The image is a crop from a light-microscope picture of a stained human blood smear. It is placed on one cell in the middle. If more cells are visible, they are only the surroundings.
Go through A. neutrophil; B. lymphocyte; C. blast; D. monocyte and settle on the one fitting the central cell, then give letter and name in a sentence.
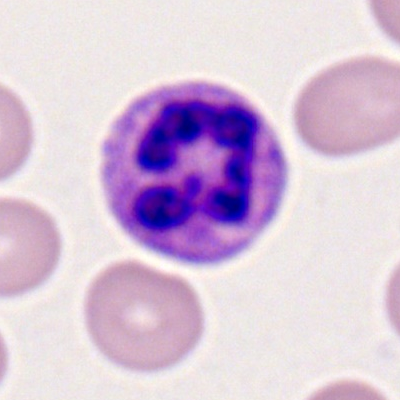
Of the options given, A is correct, the central cell being a neutrophil.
